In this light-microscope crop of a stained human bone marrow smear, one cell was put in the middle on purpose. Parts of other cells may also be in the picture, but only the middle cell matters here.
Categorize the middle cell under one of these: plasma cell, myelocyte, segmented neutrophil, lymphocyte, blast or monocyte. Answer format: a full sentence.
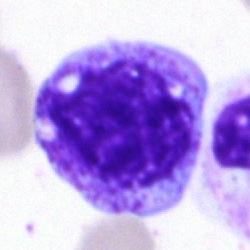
The cell centred in this crop is categorized as a myelocyte.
